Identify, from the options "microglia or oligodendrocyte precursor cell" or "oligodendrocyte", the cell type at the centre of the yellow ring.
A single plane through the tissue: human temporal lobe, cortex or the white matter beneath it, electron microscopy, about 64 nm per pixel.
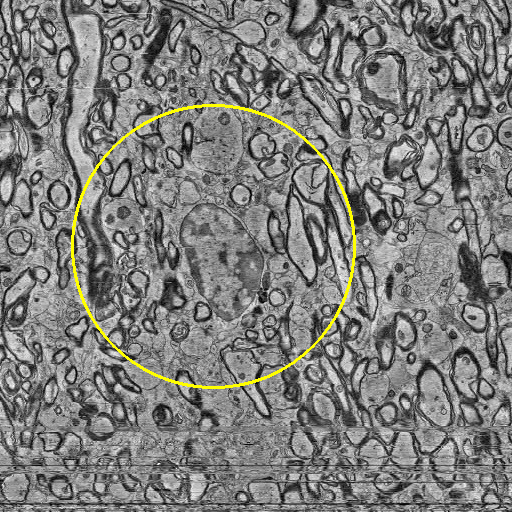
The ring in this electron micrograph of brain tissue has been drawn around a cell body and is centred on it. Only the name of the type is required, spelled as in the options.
microglia or oligodendrocyte precursor cell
